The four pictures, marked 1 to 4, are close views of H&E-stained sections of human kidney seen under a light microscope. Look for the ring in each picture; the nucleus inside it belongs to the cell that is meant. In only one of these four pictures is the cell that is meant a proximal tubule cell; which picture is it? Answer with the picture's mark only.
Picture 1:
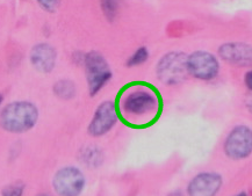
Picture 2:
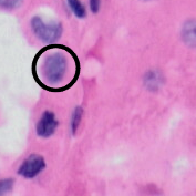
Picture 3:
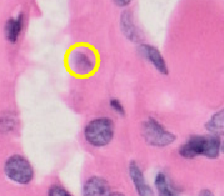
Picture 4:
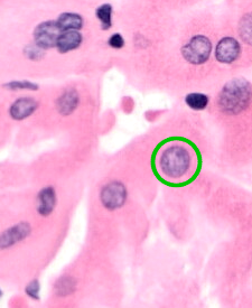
4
